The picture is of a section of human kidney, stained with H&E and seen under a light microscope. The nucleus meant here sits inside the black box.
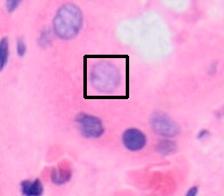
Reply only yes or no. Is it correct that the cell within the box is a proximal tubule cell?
yes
